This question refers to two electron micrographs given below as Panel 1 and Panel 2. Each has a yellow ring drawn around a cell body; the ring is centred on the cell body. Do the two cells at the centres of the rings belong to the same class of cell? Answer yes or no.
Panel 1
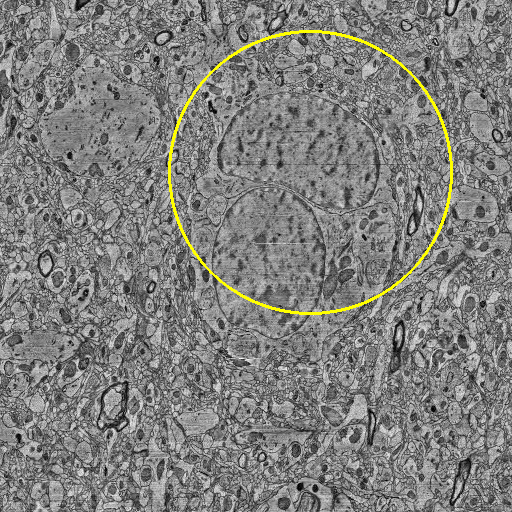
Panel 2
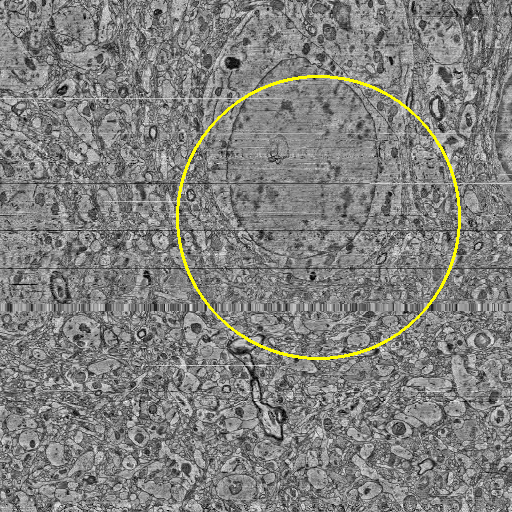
no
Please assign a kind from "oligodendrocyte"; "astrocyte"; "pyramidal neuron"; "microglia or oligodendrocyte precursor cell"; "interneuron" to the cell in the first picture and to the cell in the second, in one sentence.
In the first picture we have a microglial cell or oligodendrocyte precursor cell, and in the second, a pyramidal neuron.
